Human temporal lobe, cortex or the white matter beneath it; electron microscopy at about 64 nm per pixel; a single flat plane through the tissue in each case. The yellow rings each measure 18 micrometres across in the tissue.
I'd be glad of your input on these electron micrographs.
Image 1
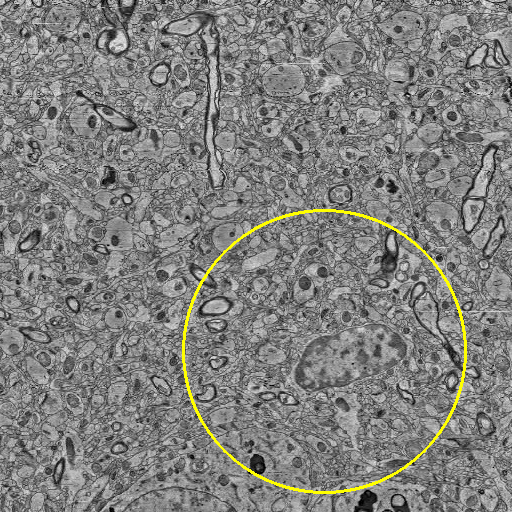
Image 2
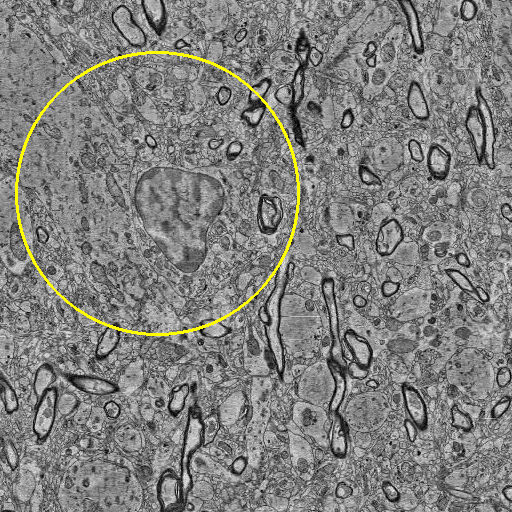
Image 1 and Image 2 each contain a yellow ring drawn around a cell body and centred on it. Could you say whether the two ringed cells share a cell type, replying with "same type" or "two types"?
same type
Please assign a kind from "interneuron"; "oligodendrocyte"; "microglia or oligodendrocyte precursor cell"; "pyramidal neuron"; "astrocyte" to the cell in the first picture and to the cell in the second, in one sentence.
Each cell at the centre of a ring is a microglial cell or oligodendrocyte precursor cell.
